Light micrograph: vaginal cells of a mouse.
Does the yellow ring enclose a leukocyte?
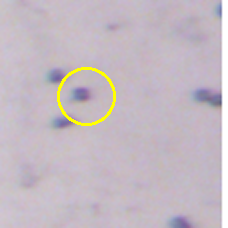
Yes. The ring encloses a leukocyte.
